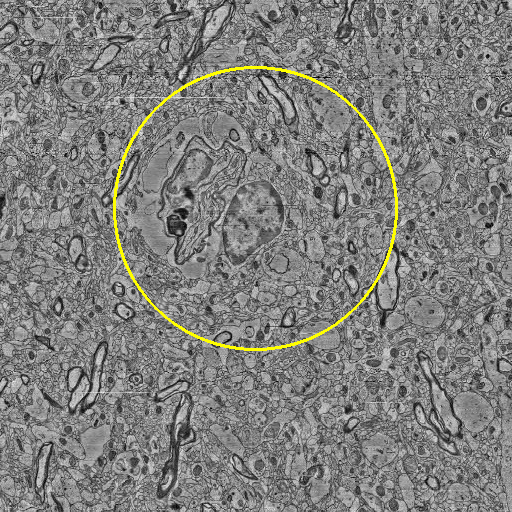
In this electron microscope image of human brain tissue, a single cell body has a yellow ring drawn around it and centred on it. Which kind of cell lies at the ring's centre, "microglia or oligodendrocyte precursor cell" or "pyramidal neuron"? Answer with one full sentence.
It is a microglial cell or oligodendrocyte precursor cell whose cell body lies at the centre of the yellow ring here.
